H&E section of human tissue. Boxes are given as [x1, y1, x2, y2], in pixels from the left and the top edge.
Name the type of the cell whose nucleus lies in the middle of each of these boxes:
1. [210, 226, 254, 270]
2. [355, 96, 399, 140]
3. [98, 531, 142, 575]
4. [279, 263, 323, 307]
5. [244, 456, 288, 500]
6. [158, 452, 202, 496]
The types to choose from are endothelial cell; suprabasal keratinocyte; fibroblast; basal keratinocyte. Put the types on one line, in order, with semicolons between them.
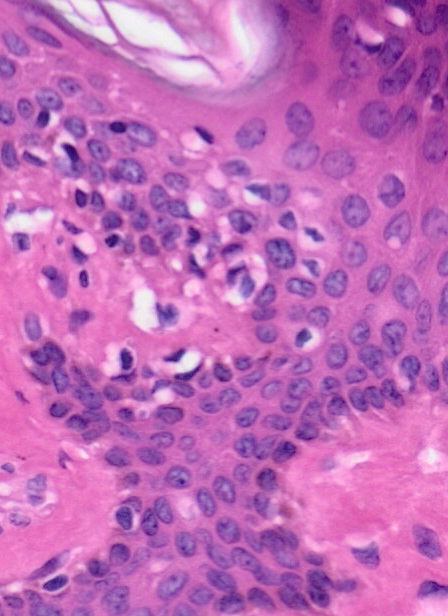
basal keratinocyte; suprabasal keratinocyte; basal keratinocyte; suprabasal keratinocyte; basal keratinocyte; suprabasal keratinocyte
